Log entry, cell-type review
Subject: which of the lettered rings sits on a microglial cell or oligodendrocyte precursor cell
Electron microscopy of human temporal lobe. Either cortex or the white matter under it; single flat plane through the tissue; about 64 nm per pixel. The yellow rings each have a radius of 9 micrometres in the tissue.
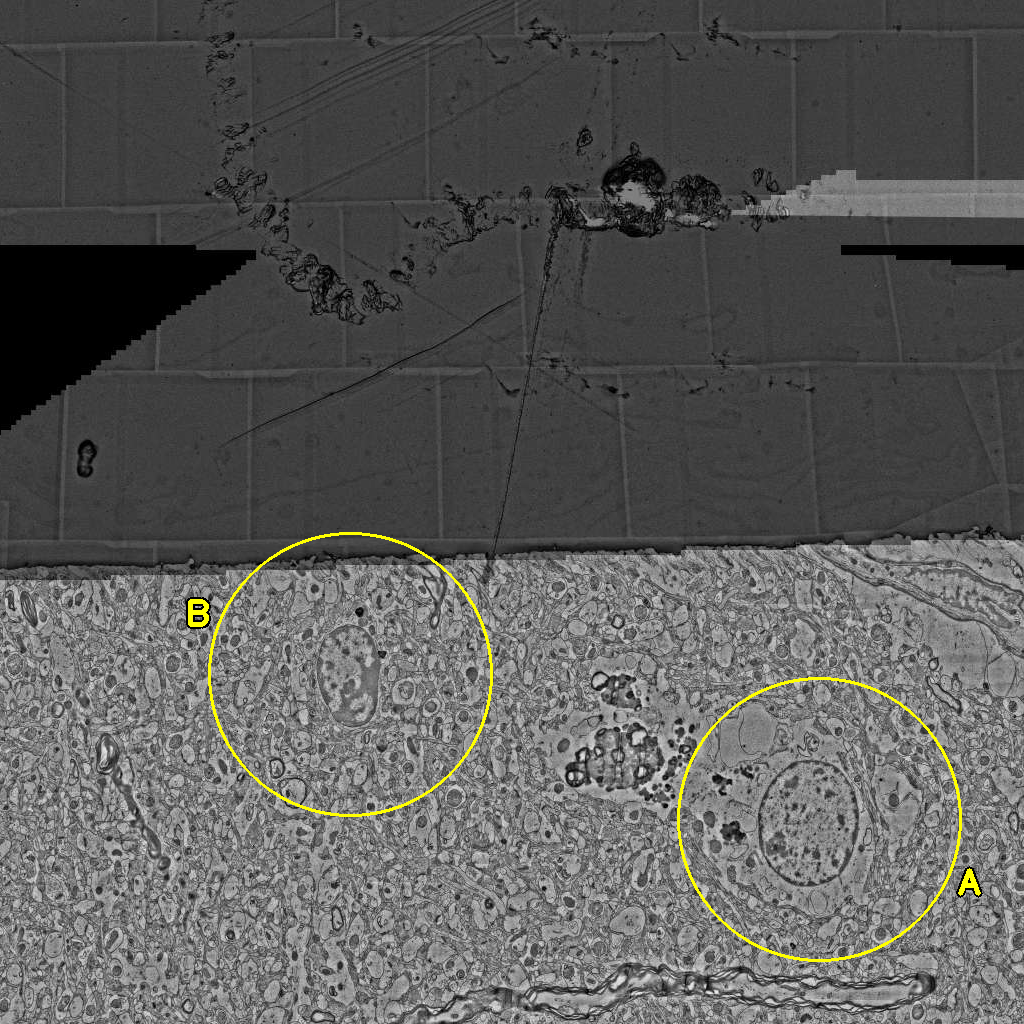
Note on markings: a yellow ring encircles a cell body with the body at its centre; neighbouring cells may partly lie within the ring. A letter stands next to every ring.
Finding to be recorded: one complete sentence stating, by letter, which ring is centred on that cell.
The cell sits at the centre of ring B.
